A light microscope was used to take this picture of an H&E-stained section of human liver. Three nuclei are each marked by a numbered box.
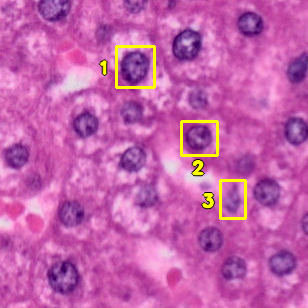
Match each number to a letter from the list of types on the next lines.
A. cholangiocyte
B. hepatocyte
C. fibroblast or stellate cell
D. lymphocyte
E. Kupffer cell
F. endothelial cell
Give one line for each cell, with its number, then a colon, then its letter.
1: B
2: B
3: F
